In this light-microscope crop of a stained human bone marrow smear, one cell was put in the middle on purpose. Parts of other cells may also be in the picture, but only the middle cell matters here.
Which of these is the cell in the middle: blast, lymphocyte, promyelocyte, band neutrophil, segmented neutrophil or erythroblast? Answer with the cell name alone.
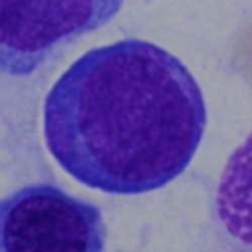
blast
